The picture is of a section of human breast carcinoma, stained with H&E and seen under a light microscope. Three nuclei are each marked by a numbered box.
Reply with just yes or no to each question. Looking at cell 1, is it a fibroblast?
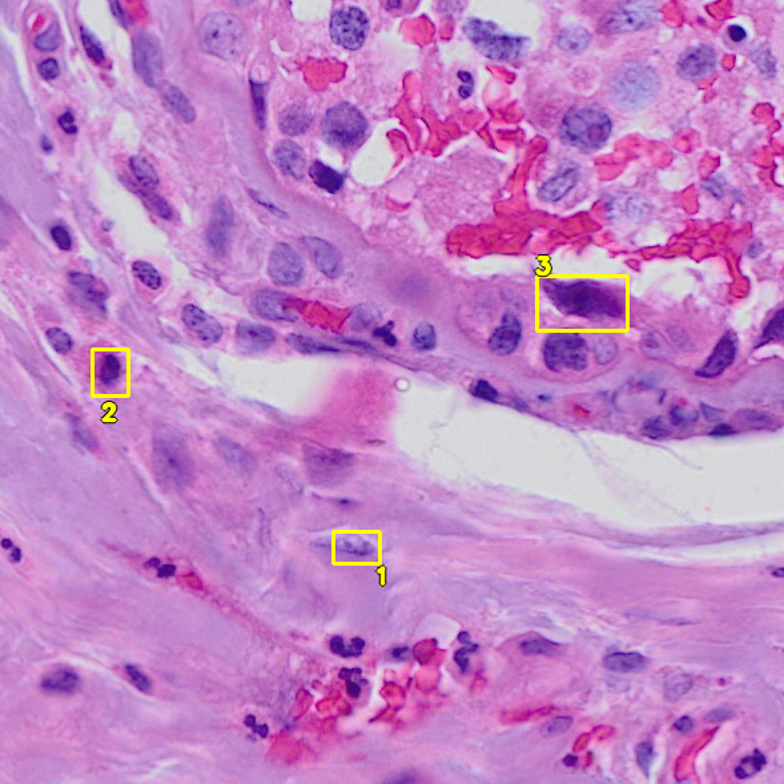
yes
